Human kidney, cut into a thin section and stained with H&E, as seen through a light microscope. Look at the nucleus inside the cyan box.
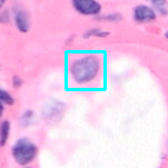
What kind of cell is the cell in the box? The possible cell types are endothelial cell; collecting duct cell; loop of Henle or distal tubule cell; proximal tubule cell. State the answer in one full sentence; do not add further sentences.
Among the cells in this section, the cell in the box is a loop of Henle or distal tubule cell.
